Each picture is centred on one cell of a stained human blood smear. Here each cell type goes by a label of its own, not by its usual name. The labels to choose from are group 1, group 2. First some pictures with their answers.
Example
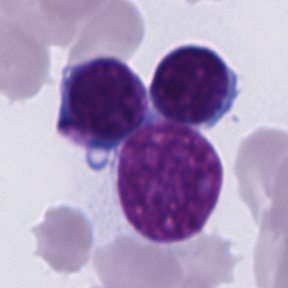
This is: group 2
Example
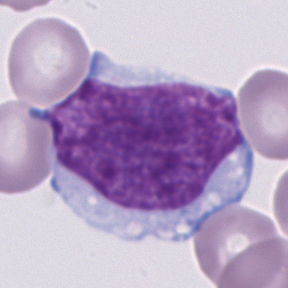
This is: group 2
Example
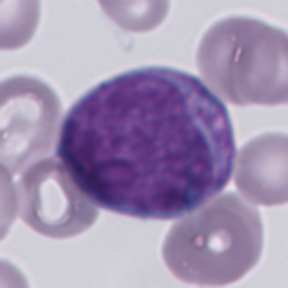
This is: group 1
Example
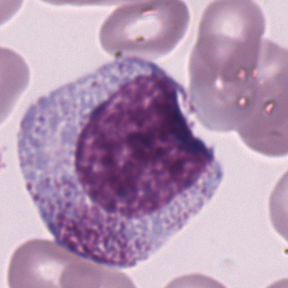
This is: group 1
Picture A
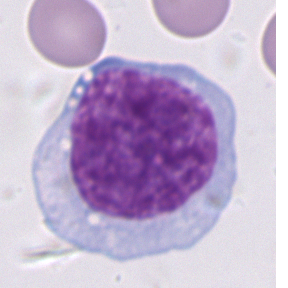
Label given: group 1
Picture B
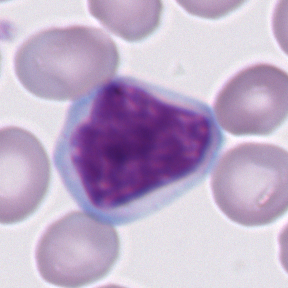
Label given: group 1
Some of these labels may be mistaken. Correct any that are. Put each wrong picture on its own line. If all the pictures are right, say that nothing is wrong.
A: change group 1 to group 2
B: change group 1 to group 2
